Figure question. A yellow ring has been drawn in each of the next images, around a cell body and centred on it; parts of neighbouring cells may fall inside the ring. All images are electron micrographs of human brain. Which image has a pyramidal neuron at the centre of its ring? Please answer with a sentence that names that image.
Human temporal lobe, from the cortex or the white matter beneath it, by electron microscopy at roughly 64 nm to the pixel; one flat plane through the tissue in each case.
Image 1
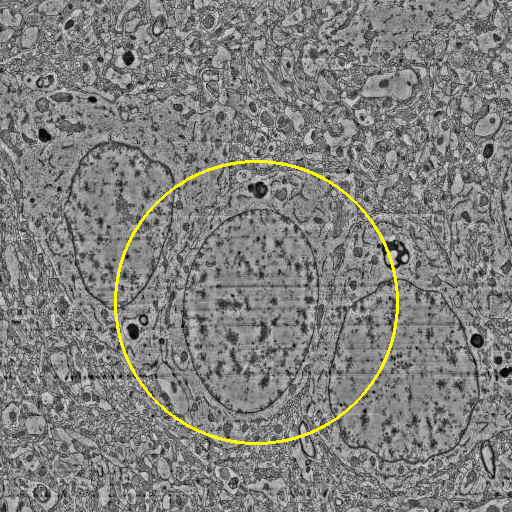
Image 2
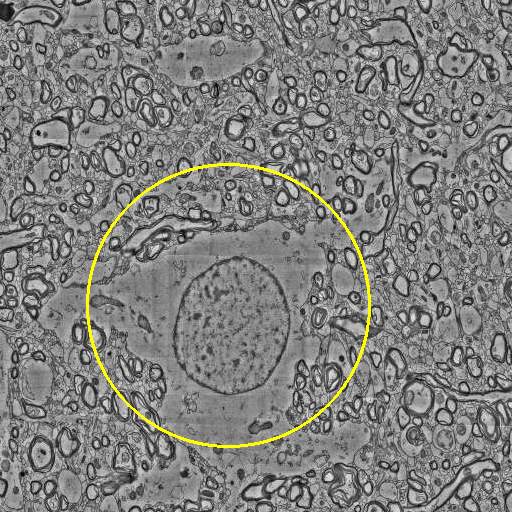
The cell at the centre of the ring in Image 1 is of that kind.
